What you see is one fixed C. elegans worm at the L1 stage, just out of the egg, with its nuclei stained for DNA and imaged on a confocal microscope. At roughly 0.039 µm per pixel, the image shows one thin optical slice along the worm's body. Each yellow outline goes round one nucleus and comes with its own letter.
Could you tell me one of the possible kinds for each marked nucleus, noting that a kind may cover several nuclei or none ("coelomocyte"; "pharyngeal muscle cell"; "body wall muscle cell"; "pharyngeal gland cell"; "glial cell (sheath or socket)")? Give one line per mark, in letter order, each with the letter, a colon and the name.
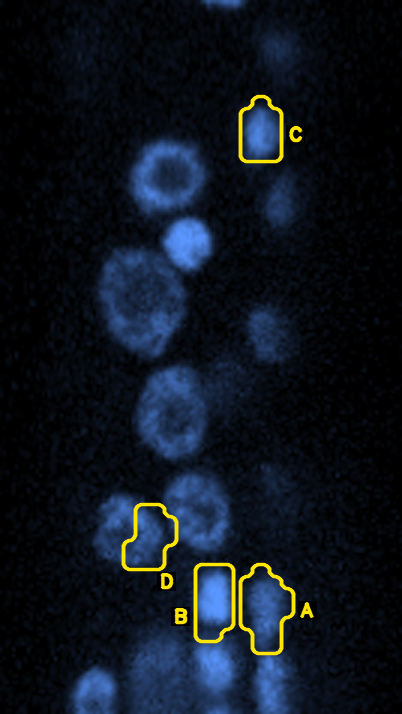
A: body wall muscle cell
B: pharyngeal muscle cell
C: coelomocyte
D: glial cell (sheath or socket)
